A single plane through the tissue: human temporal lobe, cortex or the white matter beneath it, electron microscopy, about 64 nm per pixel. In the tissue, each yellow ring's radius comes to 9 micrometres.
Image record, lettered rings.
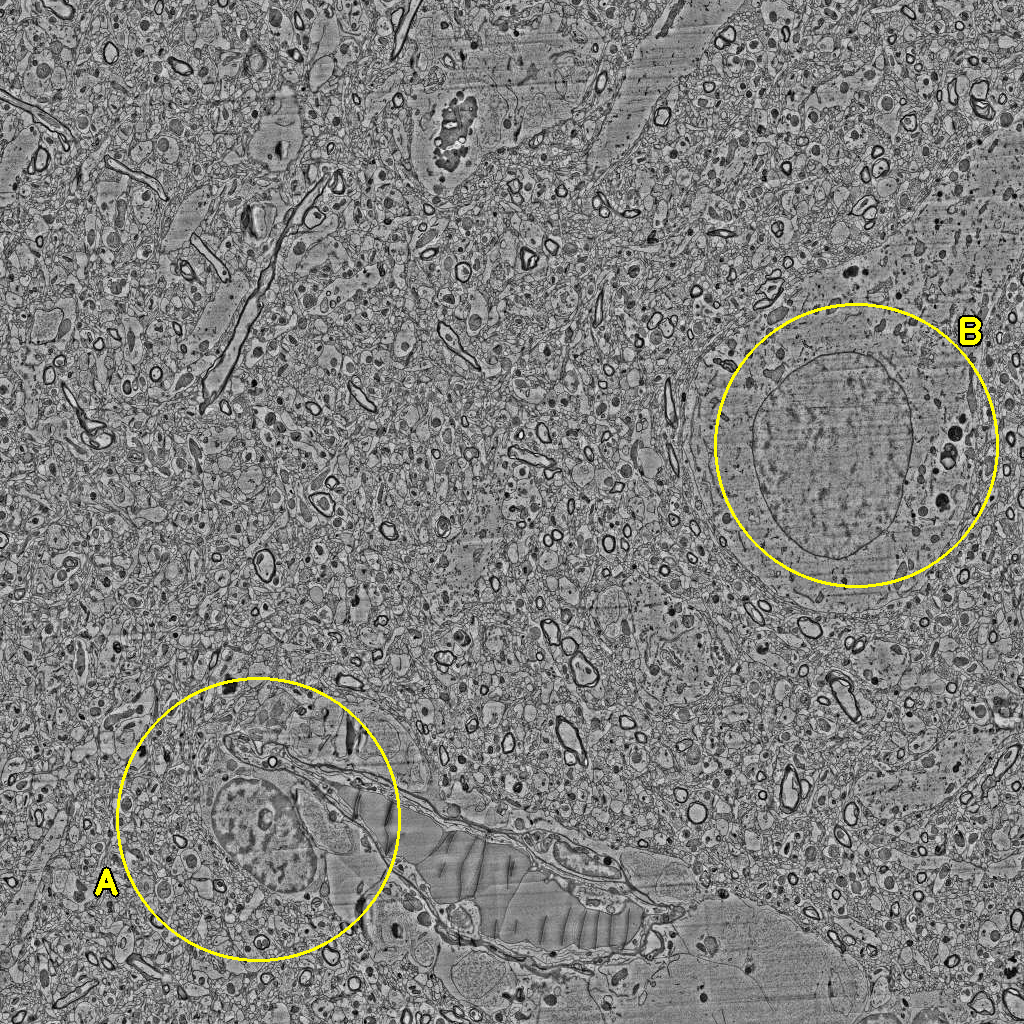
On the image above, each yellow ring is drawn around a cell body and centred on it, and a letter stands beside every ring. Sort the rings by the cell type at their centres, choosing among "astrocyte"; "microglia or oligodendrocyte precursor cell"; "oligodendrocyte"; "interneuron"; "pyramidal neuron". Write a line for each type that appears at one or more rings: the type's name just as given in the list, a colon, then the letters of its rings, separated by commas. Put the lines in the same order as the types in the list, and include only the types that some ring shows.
oligodendrocyte: A
pyramidal neuron: B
